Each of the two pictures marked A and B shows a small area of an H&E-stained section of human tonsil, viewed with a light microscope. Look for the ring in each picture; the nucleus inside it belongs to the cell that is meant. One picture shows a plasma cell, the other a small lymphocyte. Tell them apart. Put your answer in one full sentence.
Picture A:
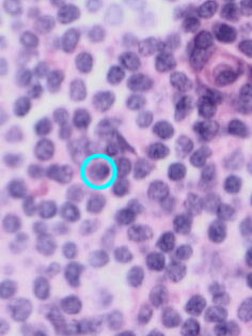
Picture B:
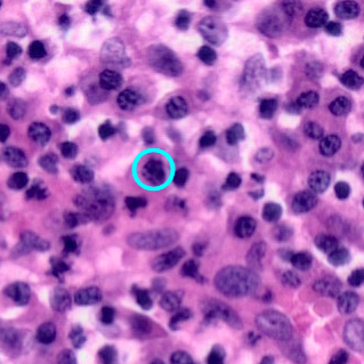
Picture A is of a small lymphocyte, and picture B is of a plasma cell.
